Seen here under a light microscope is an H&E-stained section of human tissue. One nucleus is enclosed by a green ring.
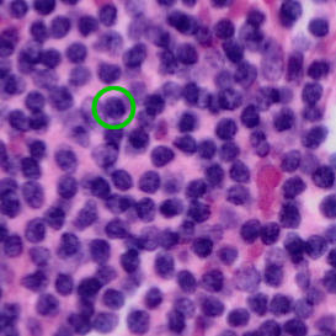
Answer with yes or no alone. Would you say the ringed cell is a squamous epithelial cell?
no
